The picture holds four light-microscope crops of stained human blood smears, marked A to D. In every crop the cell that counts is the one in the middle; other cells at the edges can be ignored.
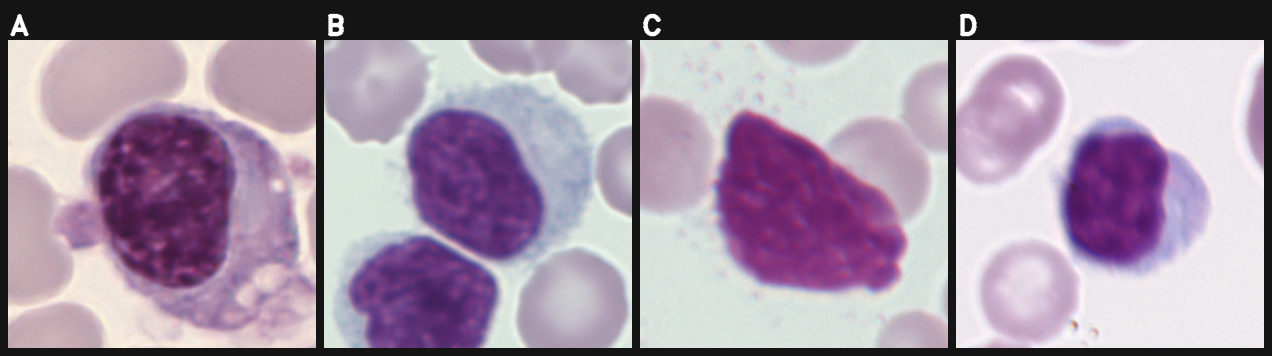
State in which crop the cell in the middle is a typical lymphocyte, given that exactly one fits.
D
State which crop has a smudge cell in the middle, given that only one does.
C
